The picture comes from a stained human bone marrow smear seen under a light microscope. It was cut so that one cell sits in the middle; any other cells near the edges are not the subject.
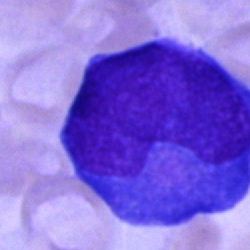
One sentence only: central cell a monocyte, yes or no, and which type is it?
No, that is not a monocyte; the middle cell is a blast.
